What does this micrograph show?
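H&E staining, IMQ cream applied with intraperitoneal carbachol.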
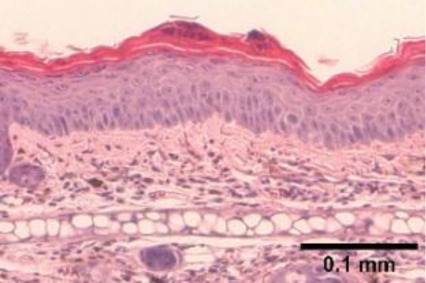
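Across the top runs a very broad band of purple-nucleated keratinocytes, many layers deep, its surface capped by a thick, bright pink cornified layer that bulges in places. Below it the pink dermis is crowded with scattered small dark nuclei, far more than usual, pointing to an inflammatory infiltrate. Near the bottom lies a row of pale, rounded, empty-looking cartilage cells forming the ear's central plate, with more cellular tissue beneath. The thickened epidermis with heavy cornification and the cell-rich dermis fit a marked dermatitis of ear skin.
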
